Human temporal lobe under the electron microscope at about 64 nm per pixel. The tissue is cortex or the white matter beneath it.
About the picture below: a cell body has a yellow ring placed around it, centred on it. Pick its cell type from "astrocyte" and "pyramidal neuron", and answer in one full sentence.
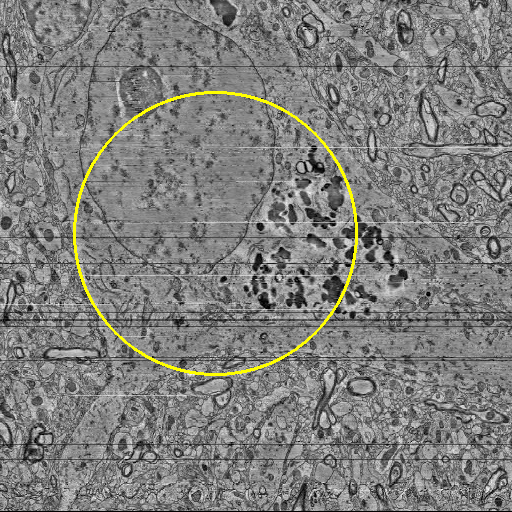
In the picture, a pyramidal neuron is the cell sitting at the centre of the yellow ring.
